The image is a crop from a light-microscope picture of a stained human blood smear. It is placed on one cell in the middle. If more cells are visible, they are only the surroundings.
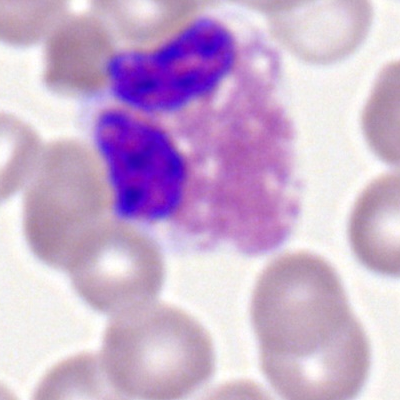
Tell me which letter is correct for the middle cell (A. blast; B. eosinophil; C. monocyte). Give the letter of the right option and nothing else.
B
